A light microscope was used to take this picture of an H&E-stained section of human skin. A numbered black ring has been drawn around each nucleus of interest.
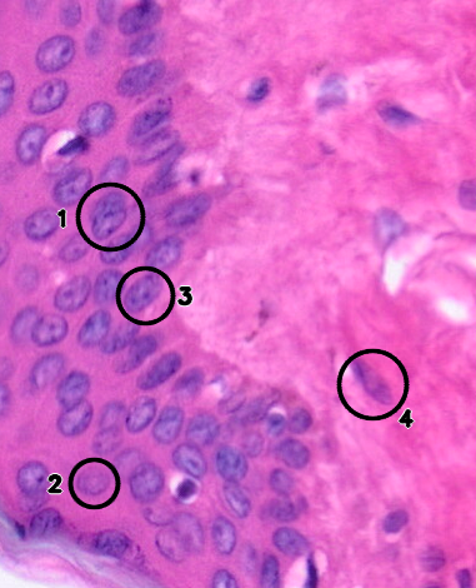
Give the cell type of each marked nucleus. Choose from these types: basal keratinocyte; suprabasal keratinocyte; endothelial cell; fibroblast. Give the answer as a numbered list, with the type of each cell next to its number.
1. suprabasal keratinocyte
2. suprabasal keratinocyte
3. basal keratinocyte
4. fibroblast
